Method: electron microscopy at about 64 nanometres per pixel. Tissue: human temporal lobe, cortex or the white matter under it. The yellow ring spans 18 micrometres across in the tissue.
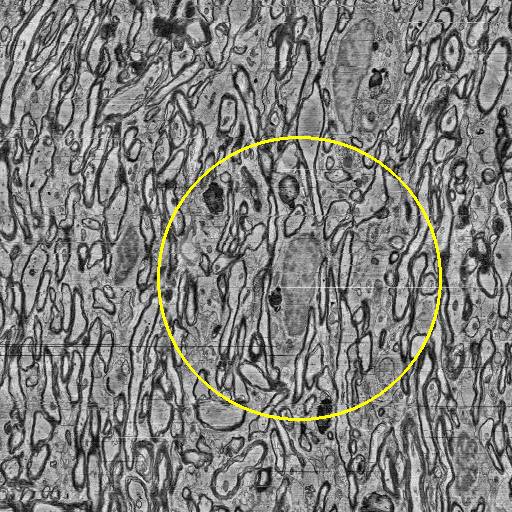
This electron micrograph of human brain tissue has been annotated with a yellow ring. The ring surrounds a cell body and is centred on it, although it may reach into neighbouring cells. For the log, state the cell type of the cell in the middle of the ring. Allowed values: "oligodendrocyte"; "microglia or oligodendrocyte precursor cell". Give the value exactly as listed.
oligodendrocyte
